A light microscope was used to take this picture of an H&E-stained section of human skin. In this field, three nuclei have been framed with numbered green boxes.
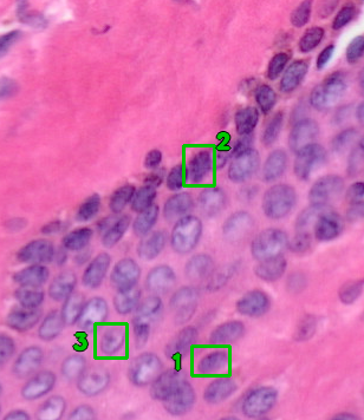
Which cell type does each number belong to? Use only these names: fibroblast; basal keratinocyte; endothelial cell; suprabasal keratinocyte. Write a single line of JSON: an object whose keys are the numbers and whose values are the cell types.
{"1": "basal keratinocyte", "2": "basal keratinocyte", "3": "suprabasal keratinocyte"}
